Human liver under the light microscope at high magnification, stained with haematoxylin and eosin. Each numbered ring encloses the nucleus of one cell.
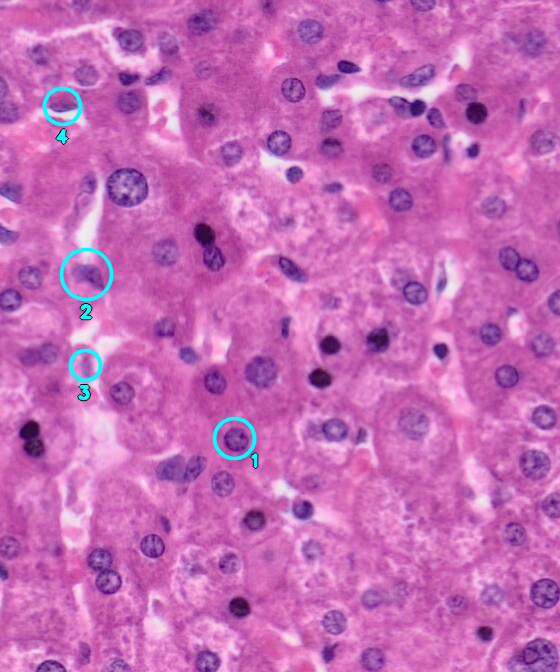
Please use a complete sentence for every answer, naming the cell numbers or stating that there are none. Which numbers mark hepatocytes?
Among the marked cells, a hepatocyte is found only at number 1.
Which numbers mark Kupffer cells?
The numbered cell that is a Kupffer cell is cell 3, and it is the only one.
